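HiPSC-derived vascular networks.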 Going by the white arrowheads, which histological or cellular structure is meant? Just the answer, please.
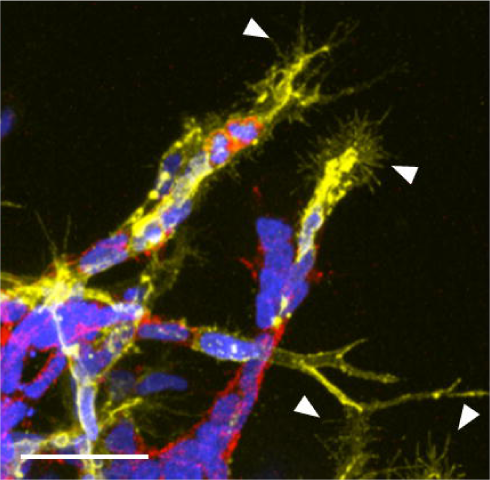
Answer: Angiogenic sprouts.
